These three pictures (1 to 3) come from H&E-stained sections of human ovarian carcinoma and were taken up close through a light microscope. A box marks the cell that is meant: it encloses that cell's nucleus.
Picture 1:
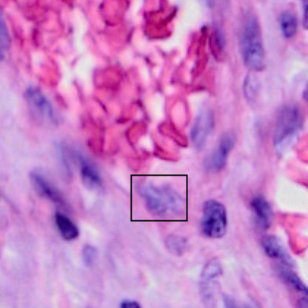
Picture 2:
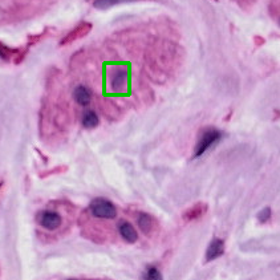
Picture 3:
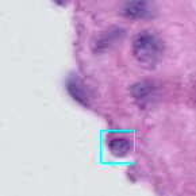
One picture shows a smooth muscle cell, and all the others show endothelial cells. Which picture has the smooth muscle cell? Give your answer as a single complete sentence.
The cell in picture 2 is the smooth muscle cell.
